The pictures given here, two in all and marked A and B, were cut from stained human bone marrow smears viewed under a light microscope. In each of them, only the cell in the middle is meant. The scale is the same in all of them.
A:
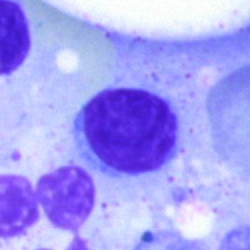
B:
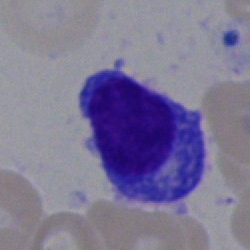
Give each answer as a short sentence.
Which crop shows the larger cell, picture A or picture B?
It is the cell in picture B, about 1.5 times as large in area as the cell in picture A.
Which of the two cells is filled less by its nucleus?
It is the cell in picture B that is filled less by its nucleus.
